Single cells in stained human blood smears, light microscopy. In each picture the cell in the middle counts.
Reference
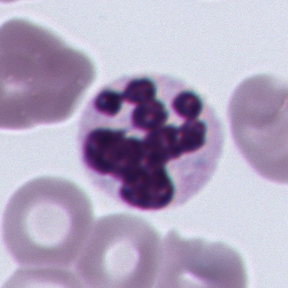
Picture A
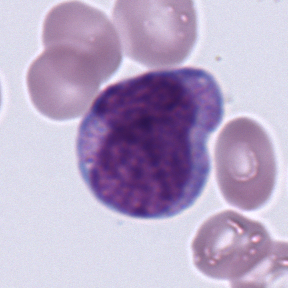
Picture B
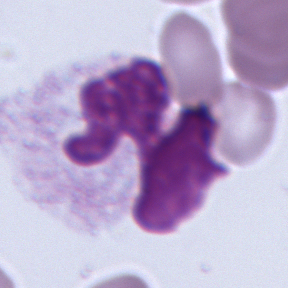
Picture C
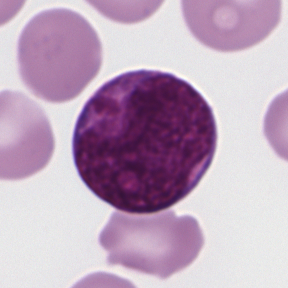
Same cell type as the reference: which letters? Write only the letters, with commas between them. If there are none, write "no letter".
B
